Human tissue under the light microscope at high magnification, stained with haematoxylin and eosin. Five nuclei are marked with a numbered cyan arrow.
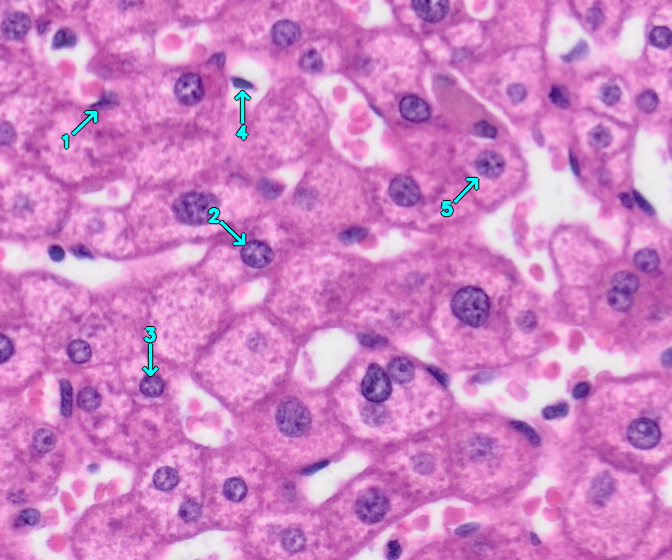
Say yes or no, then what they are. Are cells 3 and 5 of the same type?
Yes, the cell labelled 3 and the cell labelled 5 are both hepatocytes.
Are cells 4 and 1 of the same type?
No, the right answer is a lymphocyte for cell 4 and an endothelial cell for cell 1.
